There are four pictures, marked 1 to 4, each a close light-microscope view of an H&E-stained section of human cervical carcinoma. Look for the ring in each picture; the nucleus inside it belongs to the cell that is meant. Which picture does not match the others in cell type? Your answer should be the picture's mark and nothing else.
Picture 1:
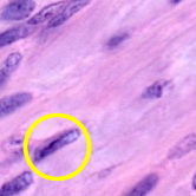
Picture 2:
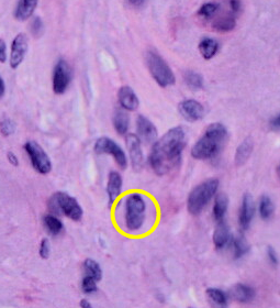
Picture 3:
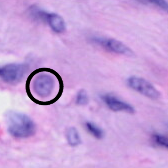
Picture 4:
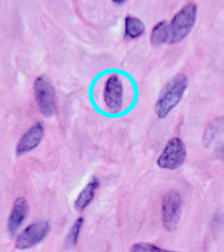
3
